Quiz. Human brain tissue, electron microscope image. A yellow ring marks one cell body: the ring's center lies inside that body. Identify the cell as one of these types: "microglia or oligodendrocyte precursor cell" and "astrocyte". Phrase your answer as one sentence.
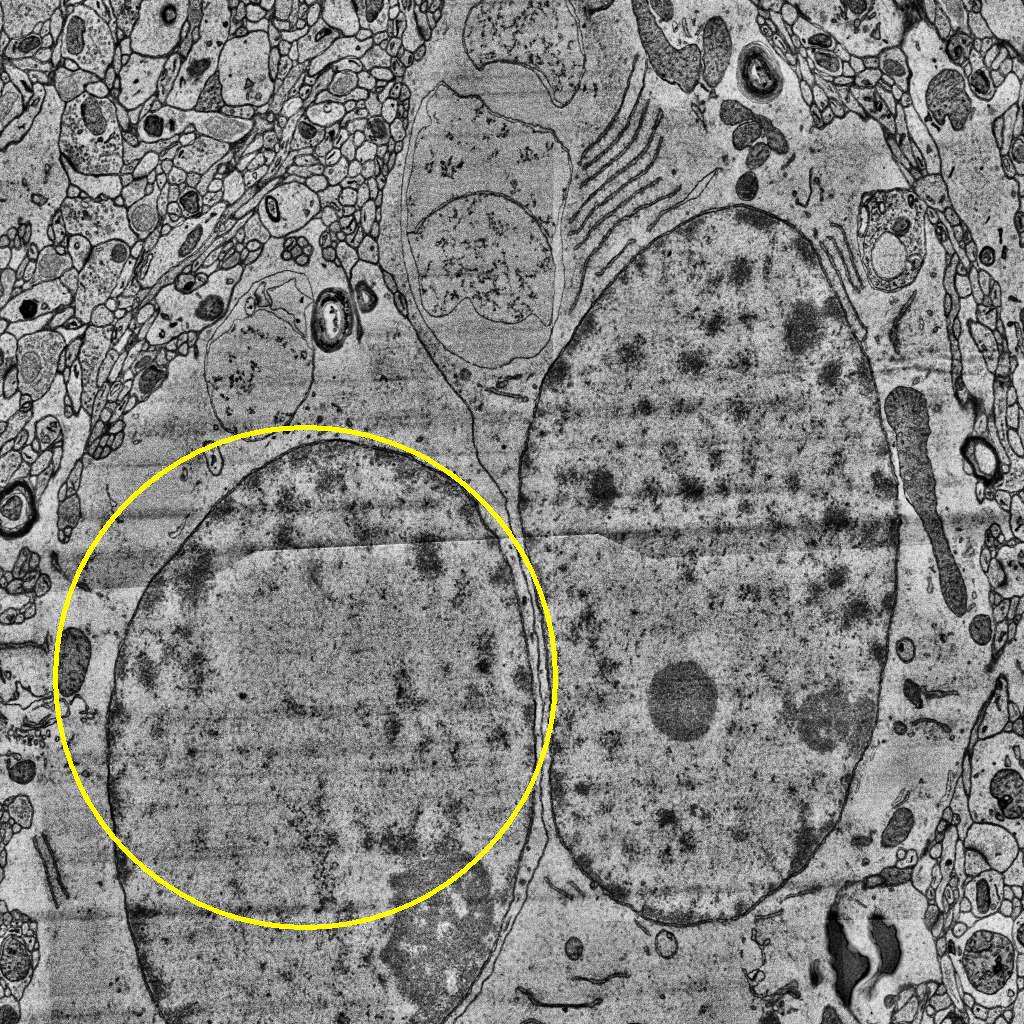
At the center of the ring sits an astrocyte.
